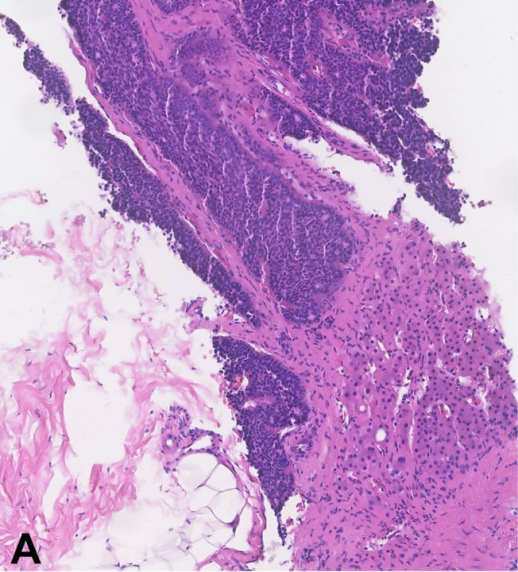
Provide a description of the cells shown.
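A liver core in which sheets, nests and trabeculae of small, closely packed cells with dark blue round nuclei and scant cytoplasm lie beside, and push into, larger pink polygonal liver cells arranged in cords. Thin bands of pink fibrous tissue separate the nests, and a patch of loose fatty tissue lies at one edge.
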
